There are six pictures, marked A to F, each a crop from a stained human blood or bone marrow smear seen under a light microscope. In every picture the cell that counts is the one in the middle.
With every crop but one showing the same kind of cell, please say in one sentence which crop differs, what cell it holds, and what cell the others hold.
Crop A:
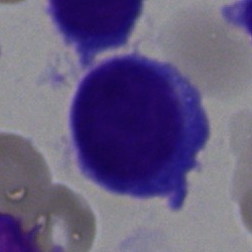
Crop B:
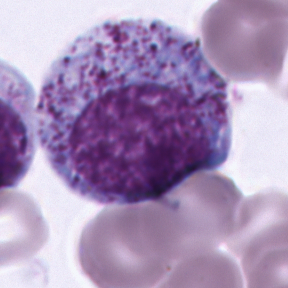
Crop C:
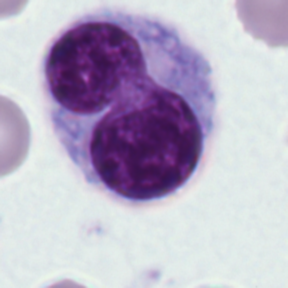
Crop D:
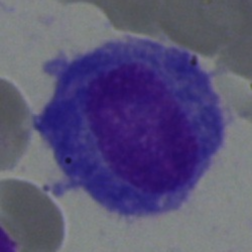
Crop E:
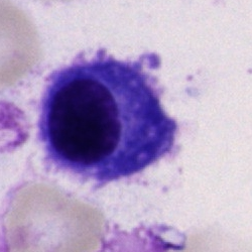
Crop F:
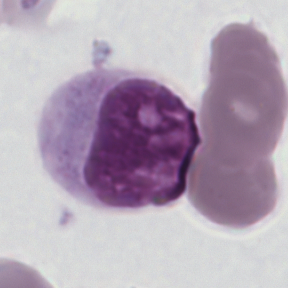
Whereas the other crops all show plasma cells, crop B shows a promyelocyte.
